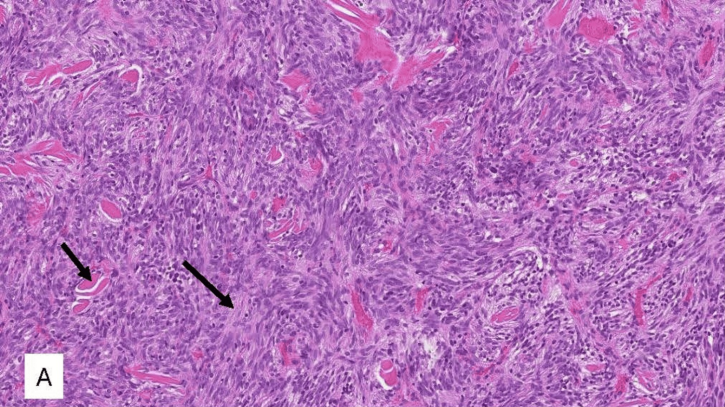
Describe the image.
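This is a cellular tumor made of spindle cells, packed tightly and running in short bundles that turn and cross each other in different directions. The nuclei are dark purple, elongated and tapering, with scant pale cytoplasm between them. Scattered through the field are bright pink, glassy bands and rounded deposits of collagen that contain no nuclei, some of them cracked or split. Small vessel spaces are also dotted among the bundles, giving the pattern a patchy, irregular look rather than an orderly one.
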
